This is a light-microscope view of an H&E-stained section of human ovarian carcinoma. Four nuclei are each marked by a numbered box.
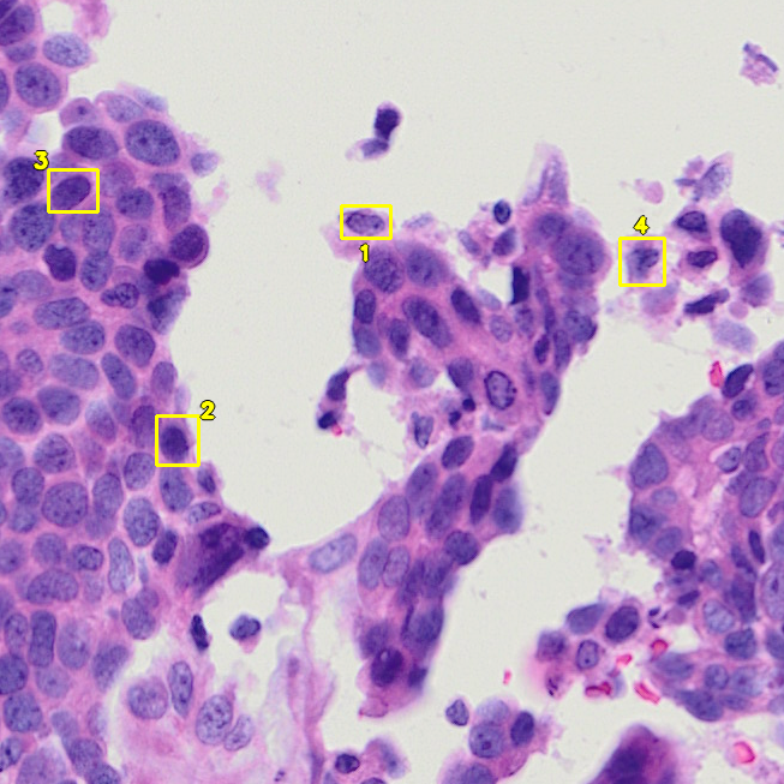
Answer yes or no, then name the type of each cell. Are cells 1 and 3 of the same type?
No, cell 1 is a macrophage or monocyte and cell 3 is a carcinoma cell.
